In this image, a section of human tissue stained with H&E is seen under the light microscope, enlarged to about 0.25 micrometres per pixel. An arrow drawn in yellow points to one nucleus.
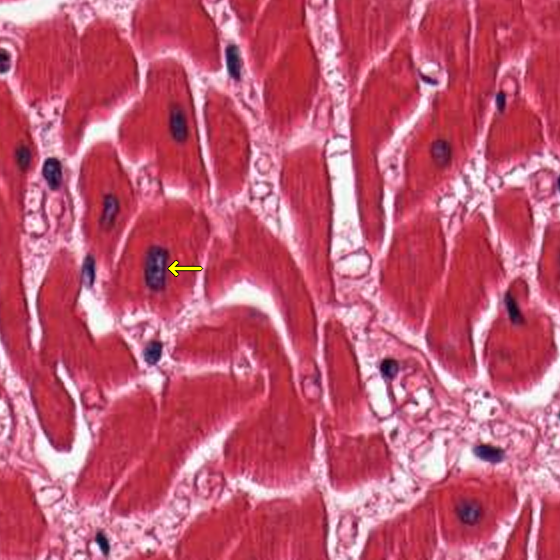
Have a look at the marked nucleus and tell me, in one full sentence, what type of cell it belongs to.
The marked nucleus belongs, in this picture, to a cardiomyocyte.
